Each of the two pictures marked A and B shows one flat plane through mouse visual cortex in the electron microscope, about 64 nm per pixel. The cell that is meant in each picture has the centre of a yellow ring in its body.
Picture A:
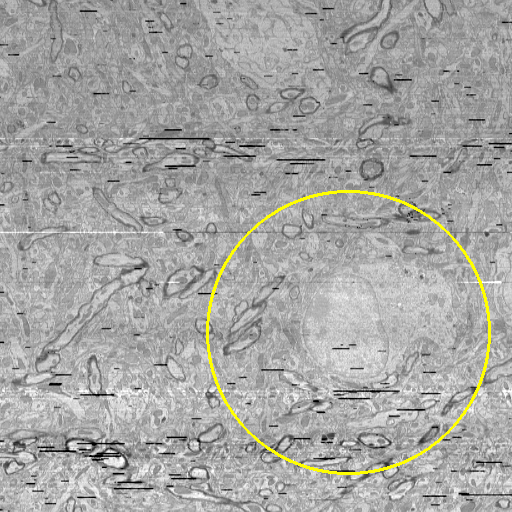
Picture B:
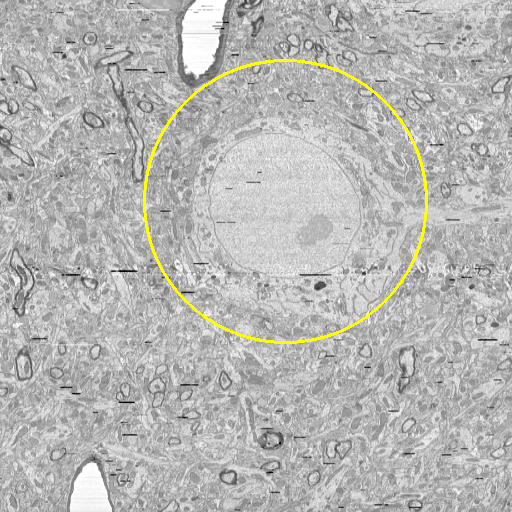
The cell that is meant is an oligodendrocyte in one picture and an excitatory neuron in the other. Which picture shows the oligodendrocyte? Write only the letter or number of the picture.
A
